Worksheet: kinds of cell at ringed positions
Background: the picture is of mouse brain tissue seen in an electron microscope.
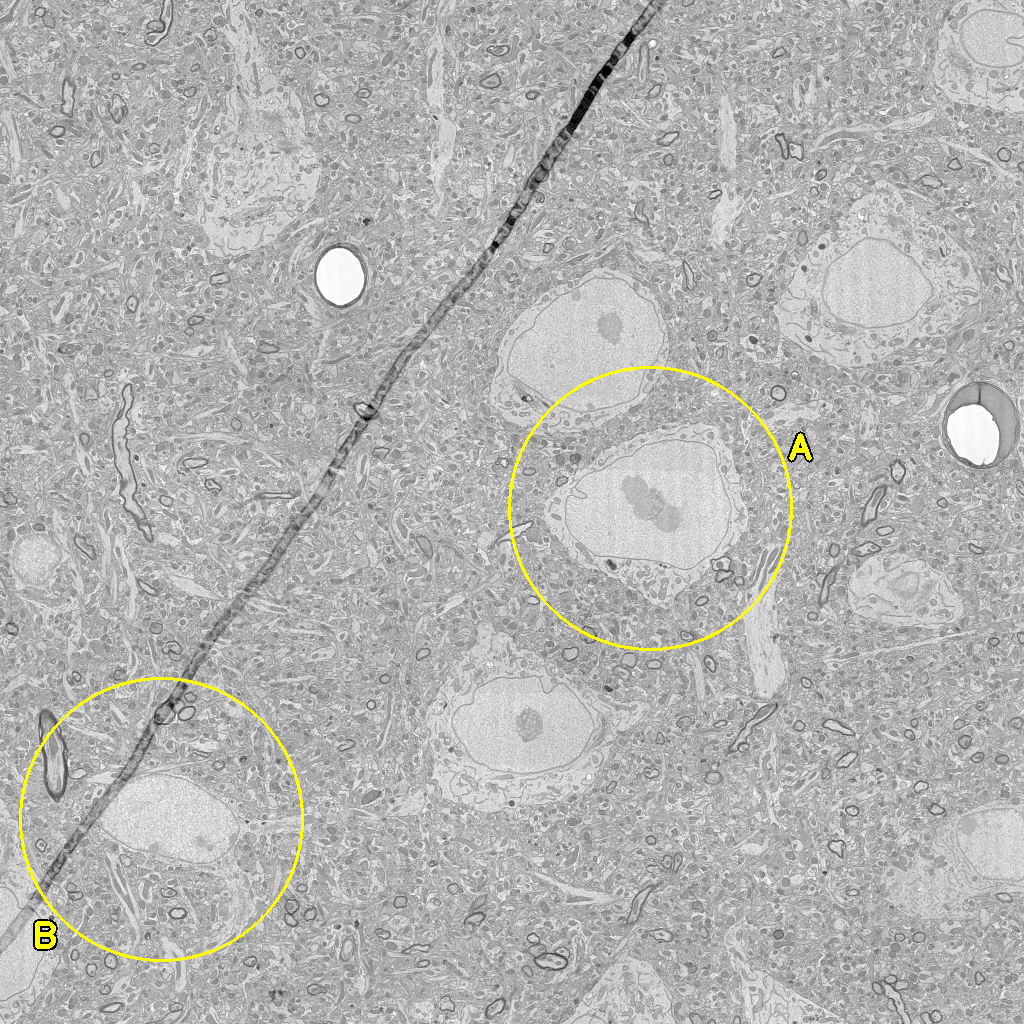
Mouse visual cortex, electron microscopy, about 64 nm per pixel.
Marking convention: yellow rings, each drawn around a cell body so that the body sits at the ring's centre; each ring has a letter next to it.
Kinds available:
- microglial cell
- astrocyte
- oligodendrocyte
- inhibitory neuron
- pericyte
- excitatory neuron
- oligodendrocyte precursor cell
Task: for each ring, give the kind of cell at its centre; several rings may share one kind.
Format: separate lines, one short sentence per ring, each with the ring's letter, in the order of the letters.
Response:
Ring A is drawn around an excitatory neuron.
Ring B is drawn around an astrocyte.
